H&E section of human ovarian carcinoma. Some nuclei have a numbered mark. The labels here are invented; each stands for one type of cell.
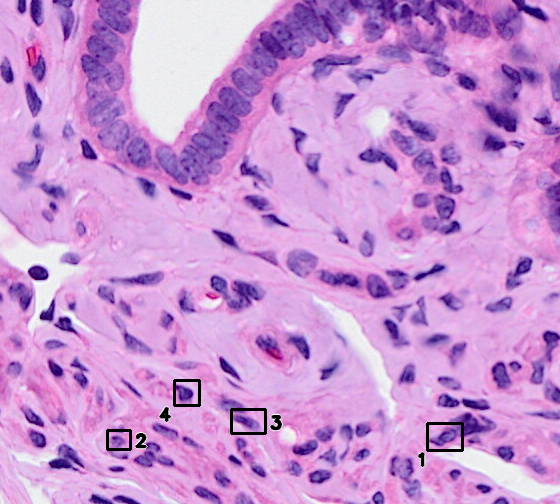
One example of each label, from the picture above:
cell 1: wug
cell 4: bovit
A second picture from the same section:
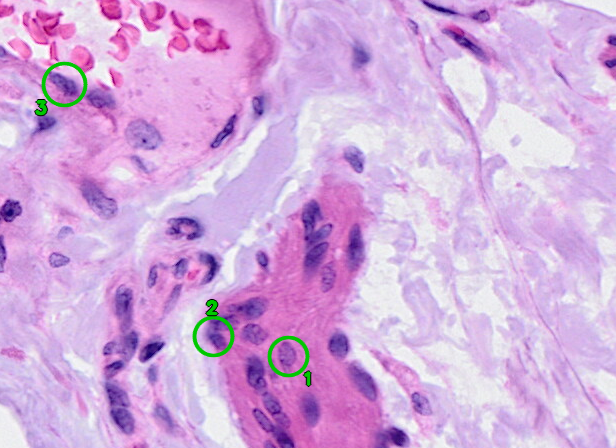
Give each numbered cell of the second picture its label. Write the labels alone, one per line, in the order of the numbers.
bovit
bovit
wug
